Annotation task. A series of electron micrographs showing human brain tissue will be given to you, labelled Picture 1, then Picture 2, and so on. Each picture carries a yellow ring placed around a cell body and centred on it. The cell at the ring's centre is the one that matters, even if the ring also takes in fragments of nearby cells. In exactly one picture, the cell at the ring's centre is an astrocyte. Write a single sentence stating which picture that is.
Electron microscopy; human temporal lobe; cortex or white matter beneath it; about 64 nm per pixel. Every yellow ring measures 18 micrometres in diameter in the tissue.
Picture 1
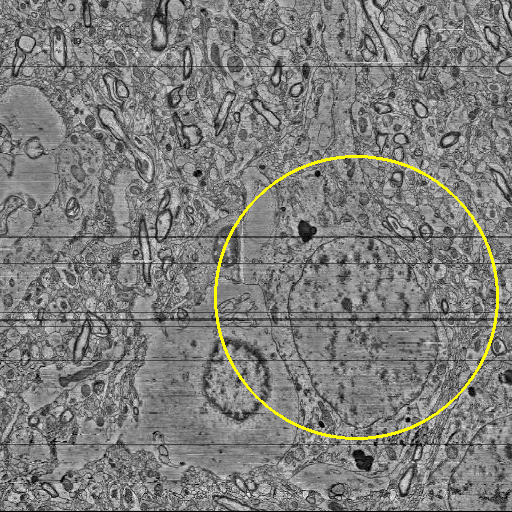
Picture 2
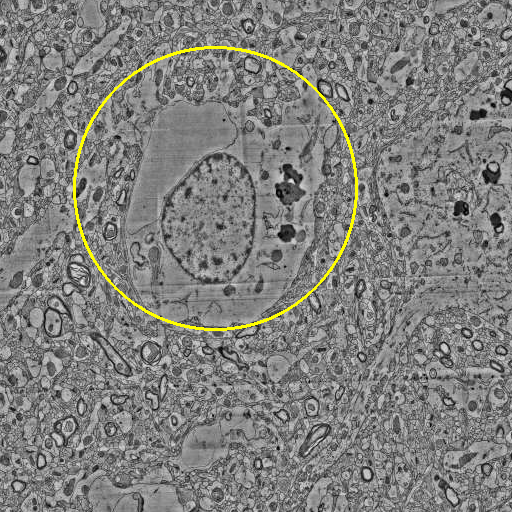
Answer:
Picture 2 holds the requested cell at the very centre of its ring.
